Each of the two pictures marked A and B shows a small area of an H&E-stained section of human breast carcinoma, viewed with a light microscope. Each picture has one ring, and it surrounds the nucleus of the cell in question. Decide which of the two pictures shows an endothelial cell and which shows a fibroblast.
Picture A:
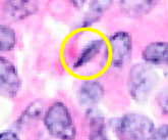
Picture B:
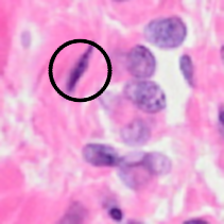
A: endothelial cell
B: fibroblast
